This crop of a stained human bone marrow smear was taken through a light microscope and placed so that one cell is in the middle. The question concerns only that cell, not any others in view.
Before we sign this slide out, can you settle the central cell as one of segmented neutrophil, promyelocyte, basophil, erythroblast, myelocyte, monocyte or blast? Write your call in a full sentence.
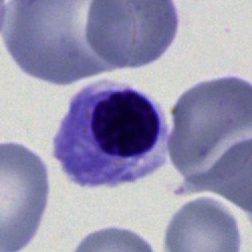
What sits at the centre of this crop is an erythroblast.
